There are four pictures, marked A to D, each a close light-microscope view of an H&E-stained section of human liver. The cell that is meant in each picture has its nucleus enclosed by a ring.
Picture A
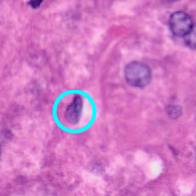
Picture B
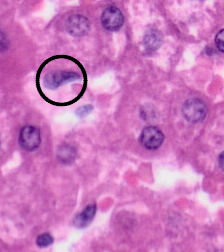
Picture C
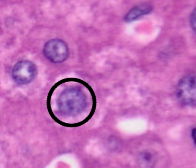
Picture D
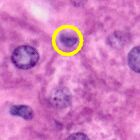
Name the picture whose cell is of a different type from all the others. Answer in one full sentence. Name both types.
The others show endothelial cells, but picture C shows a hepatocyte.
